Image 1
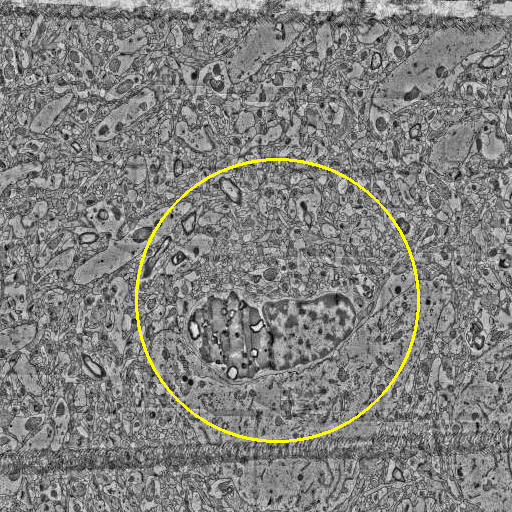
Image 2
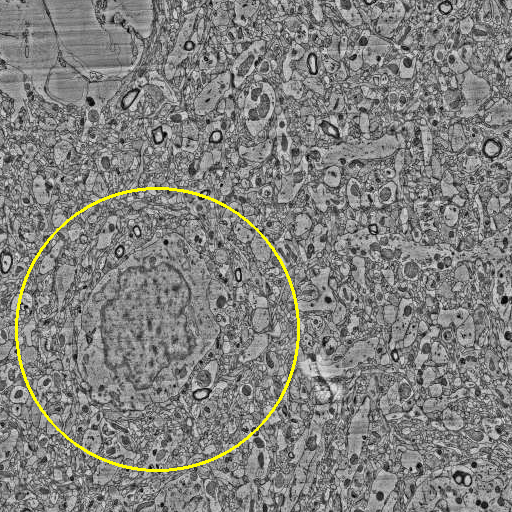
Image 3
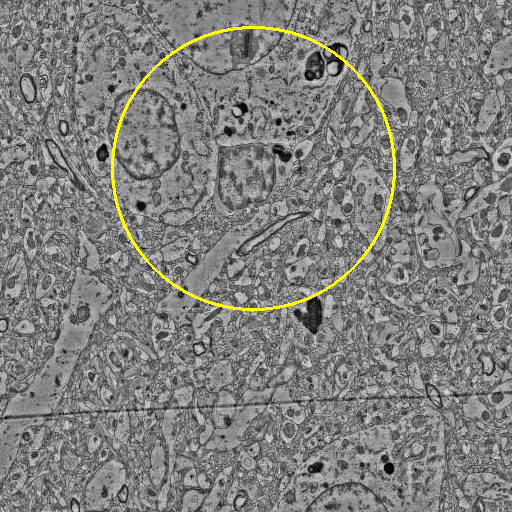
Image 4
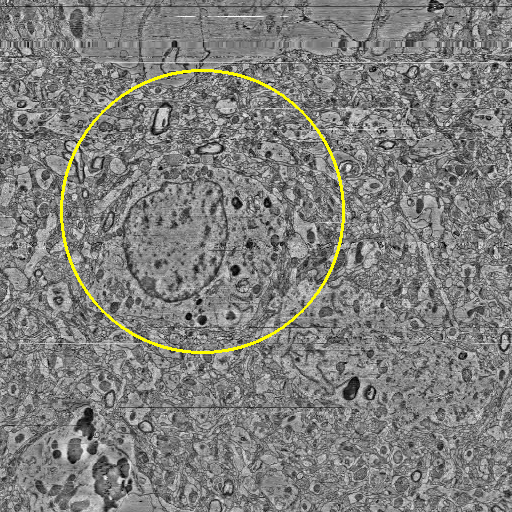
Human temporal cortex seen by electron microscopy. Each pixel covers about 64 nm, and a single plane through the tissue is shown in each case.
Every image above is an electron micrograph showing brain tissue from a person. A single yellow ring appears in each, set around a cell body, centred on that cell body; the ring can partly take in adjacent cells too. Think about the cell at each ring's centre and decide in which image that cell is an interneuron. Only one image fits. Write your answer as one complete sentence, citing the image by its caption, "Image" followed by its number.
Image 2 is the one whose ringed central cell fits the description.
